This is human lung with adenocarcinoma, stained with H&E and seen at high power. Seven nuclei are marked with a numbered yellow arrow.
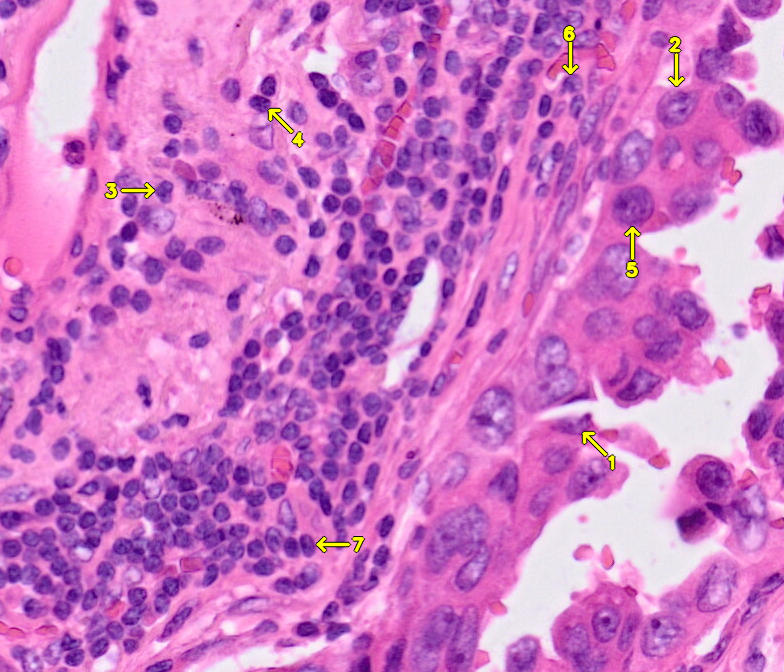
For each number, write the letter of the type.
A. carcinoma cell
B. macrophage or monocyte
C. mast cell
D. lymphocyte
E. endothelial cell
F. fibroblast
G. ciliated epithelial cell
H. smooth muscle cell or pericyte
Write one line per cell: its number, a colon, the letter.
1: A
2: A
3: D
4: D
5: A
6: D
7: D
